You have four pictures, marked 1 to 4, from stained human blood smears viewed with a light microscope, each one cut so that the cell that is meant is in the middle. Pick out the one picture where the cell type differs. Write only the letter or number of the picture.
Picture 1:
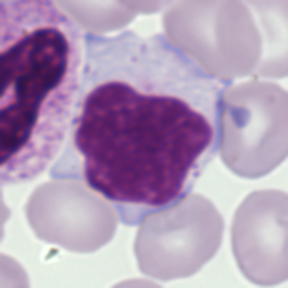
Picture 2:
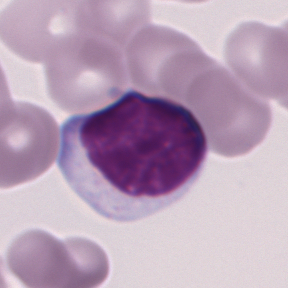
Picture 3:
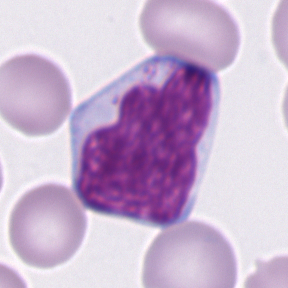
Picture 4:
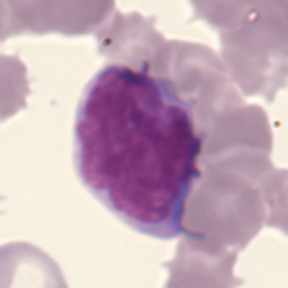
4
